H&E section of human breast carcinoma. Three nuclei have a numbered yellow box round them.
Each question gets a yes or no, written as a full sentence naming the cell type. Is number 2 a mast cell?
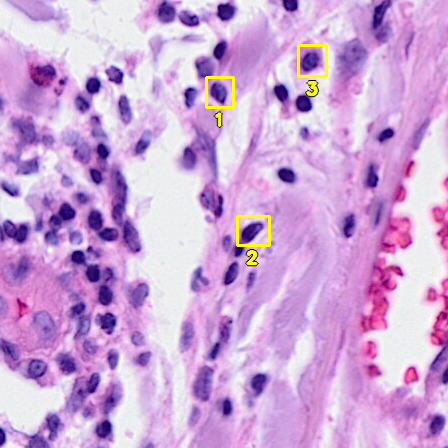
No, calling cell 2 a mast cell is incorrect; it is a lymphocyte.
